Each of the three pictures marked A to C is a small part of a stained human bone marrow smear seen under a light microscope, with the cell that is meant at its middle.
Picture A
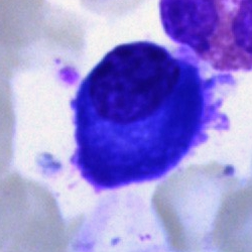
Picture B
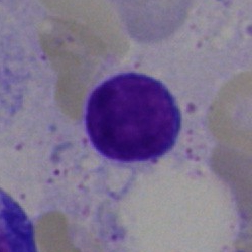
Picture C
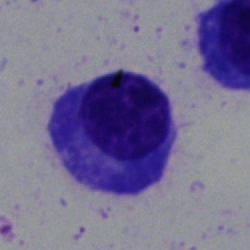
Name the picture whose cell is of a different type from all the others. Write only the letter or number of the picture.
B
